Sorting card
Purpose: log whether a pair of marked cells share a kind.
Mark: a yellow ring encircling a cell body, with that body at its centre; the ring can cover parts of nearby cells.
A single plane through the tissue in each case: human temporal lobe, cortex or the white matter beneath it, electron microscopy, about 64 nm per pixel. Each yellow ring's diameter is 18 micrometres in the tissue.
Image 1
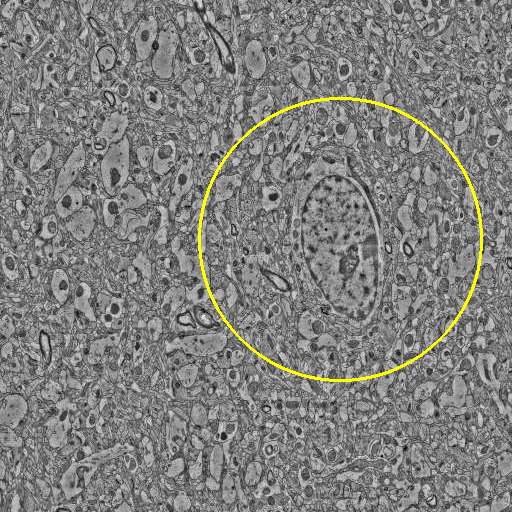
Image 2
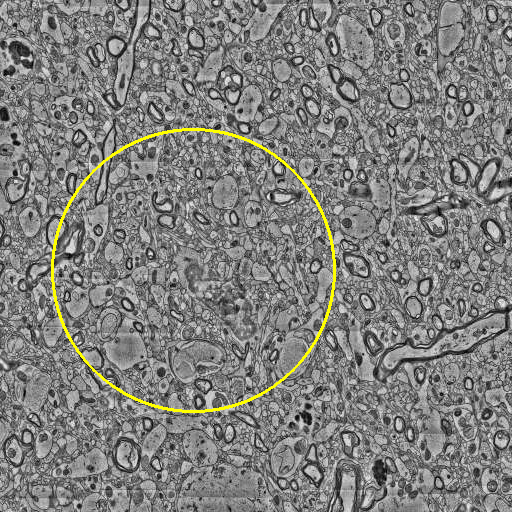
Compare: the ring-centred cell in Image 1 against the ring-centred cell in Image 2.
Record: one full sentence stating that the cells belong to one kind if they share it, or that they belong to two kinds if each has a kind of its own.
Across Images 1 and 2, the two ring-centred cells belong to two kinds.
